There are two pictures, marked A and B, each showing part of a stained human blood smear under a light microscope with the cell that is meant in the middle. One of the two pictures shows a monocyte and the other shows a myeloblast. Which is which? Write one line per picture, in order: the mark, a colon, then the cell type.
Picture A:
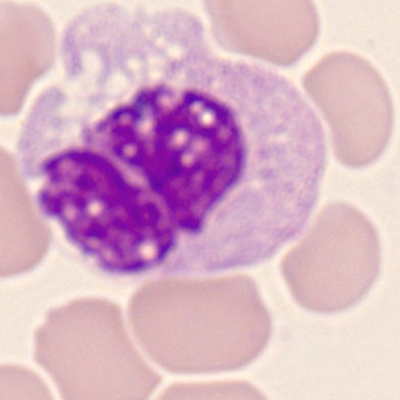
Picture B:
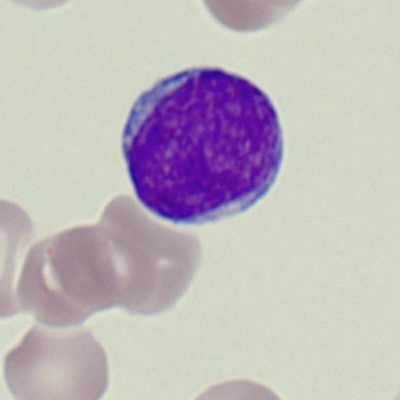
A: monocyte
B: myeloblast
